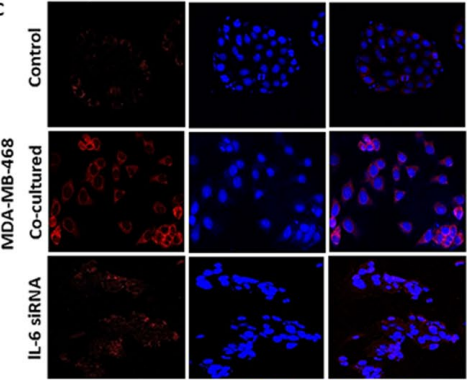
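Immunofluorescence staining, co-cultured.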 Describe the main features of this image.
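The blue nuclei are round to oval, and in the top and bottom rows the cells lie packed in tight clusters. In the middle row the cells are more spread out and separated from one another. There the red signal is bright and fills the cytoplasm around the nuclei, whereas in the top and bottom rows it is faint and speckled.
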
